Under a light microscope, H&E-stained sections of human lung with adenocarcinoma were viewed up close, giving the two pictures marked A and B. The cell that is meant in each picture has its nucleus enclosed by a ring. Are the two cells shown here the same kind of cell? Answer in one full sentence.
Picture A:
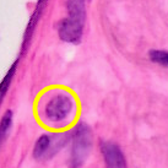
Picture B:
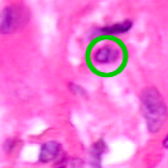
Yes, both are mast cells.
